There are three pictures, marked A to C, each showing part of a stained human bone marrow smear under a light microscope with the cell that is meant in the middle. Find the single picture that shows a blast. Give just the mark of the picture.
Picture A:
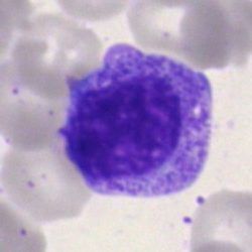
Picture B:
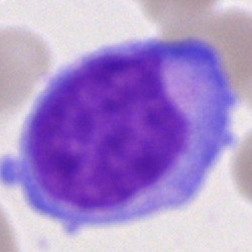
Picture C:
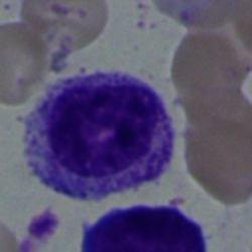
B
